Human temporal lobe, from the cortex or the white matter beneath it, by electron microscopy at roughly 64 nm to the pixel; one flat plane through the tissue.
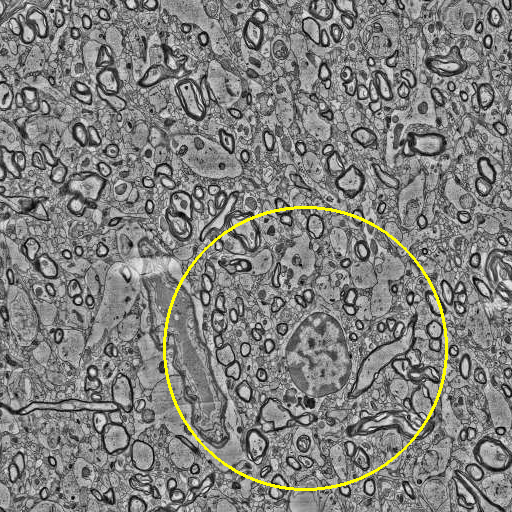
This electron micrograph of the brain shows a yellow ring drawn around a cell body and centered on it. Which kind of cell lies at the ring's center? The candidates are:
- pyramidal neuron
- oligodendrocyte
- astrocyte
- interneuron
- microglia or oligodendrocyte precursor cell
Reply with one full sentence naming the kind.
The cell lying at the ring's center in this micrograph is a microglial cell or oligodendrocyte precursor cell.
